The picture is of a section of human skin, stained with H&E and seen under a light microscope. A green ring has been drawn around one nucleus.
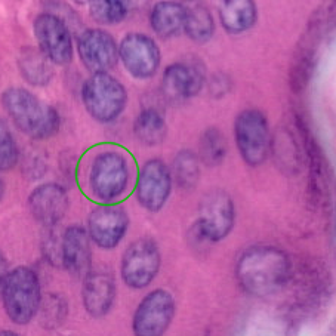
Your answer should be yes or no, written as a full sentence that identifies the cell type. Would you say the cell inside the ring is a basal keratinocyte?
No, the cell inside the ring does not represent a basal keratinocyte; it represents a suprabasal keratinocyte.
